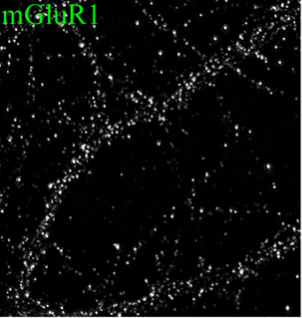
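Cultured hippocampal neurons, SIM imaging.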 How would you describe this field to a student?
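A dark field is crossed by several thin, branching lines made up of many small, bright, roughly round dots, densely strung along each line and sparser in between. There are no cell bodies, nuclei or continuous membranes to be seen; only the punctate pattern traces the course of the processes. The dots vary somewhat in brightness and size, and a few isolated dots lie off the main tracks, perhaps on finer branches.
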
